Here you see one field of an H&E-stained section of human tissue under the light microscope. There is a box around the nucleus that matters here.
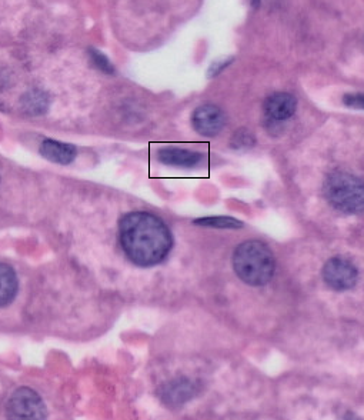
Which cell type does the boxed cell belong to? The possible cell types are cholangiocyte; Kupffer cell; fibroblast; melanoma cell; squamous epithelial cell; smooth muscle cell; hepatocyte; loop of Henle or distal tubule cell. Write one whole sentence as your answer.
The classification of the boxed cell is as a Kupffer cell.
